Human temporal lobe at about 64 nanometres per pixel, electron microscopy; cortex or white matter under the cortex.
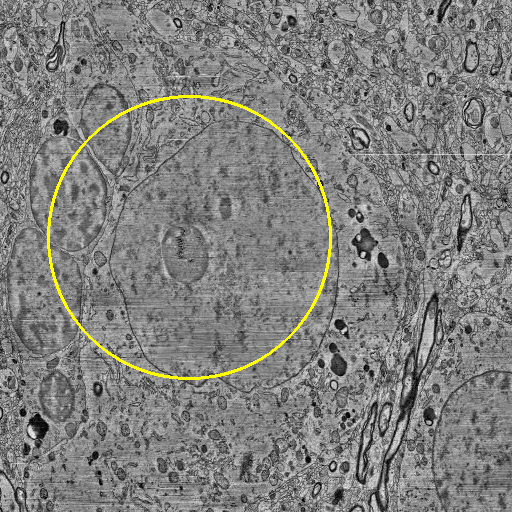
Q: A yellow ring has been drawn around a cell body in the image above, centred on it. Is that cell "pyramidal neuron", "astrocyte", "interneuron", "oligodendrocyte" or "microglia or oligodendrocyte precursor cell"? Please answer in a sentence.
The ring surrounds the cell body of a pyramidal neuron.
